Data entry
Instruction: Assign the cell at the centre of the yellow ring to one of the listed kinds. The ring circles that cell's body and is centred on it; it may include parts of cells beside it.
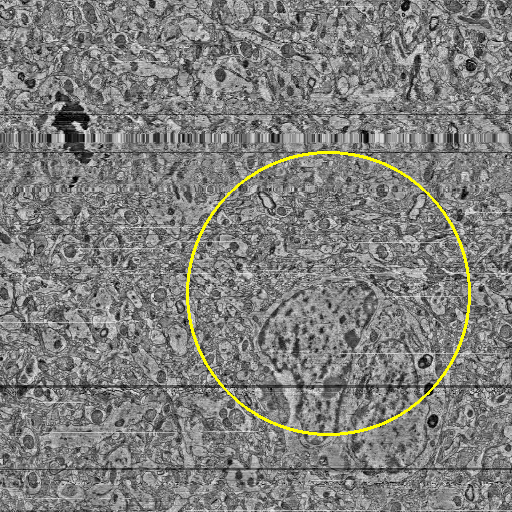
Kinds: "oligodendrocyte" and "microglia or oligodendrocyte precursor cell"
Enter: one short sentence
The centre of the ring falls on a microglial cell or oligodendrocyte precursor cell.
